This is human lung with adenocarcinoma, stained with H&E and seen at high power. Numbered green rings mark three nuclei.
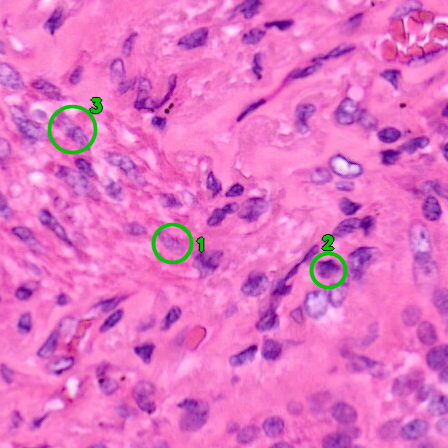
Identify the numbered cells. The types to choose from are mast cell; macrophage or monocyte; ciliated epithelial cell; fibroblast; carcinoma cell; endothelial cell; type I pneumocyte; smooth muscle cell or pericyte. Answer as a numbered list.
1. smooth muscle cell or pericyte
2. mast cell
3. smooth muscle cell or pericyte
